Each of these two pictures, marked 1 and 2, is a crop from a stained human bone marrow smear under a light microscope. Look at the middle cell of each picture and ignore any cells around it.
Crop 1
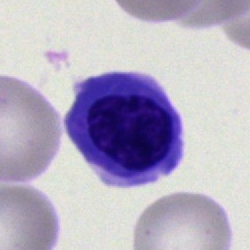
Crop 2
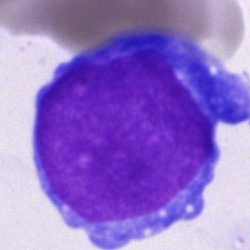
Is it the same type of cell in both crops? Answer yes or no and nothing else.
no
